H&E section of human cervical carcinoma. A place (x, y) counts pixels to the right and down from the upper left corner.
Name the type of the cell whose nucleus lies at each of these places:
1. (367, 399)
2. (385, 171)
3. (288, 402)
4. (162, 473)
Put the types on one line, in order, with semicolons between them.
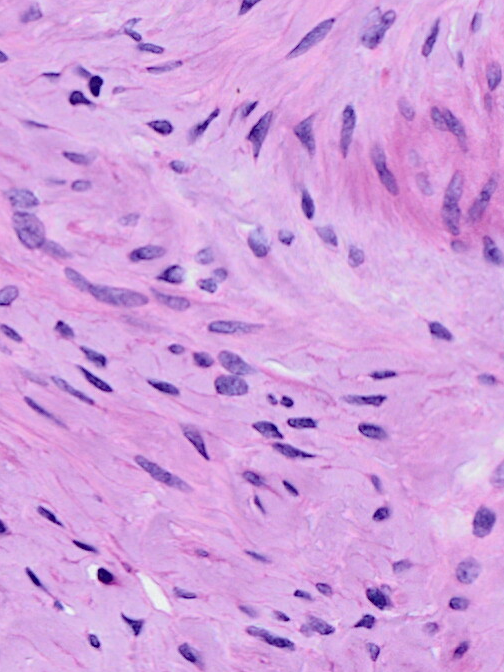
fibroblast; smooth muscle cell; fibroblast; fibroblast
